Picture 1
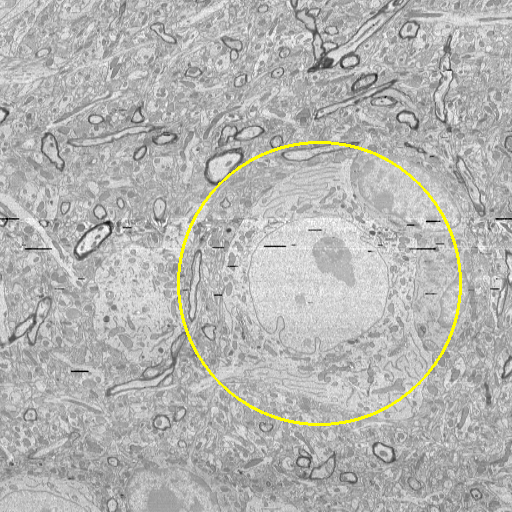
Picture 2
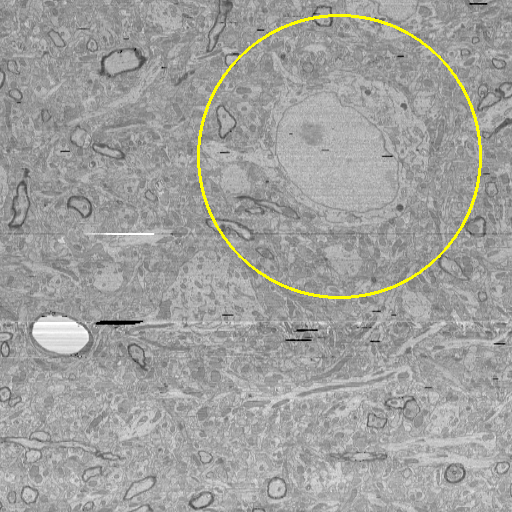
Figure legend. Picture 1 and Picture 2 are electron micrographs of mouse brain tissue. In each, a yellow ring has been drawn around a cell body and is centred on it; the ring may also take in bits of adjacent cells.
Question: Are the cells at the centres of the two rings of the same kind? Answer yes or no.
yes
